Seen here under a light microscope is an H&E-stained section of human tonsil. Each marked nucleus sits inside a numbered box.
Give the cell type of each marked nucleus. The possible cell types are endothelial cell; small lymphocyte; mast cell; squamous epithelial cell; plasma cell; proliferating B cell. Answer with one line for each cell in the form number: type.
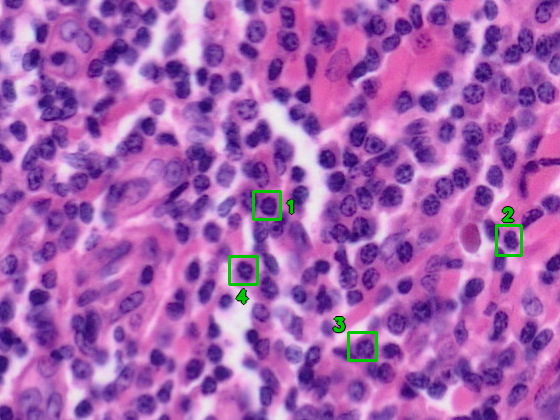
1: plasma cell
2: mast cell
3: plasma cell
4: plasma cell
